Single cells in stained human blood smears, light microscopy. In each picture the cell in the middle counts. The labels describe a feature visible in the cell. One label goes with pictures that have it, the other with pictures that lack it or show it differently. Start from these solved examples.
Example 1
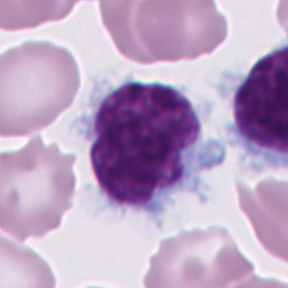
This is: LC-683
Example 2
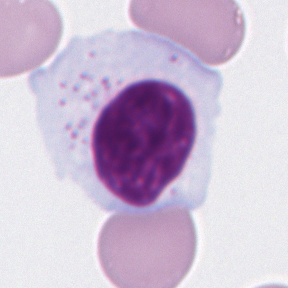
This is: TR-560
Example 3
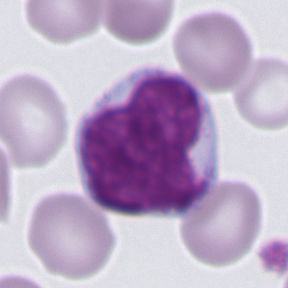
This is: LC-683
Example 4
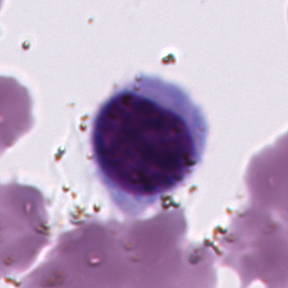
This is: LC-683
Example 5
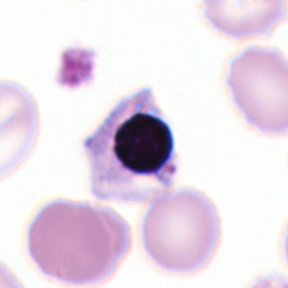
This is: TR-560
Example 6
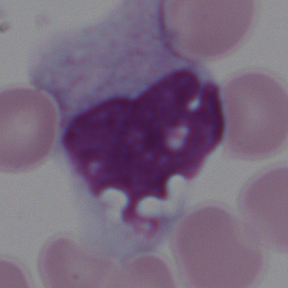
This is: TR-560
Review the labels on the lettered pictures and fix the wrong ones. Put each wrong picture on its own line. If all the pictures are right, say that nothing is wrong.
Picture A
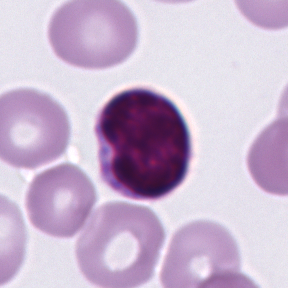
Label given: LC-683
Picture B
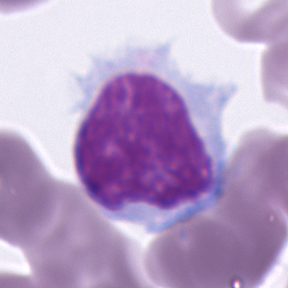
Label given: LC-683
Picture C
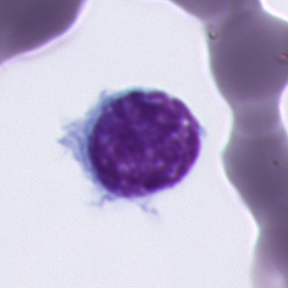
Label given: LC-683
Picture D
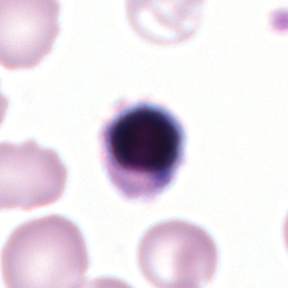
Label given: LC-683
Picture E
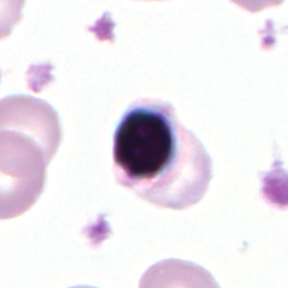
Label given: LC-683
Nothing to fix; every label fits.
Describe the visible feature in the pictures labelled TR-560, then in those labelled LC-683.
In TR-560: abundant cytoplasm. In LC-683: scant cytoplasm.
